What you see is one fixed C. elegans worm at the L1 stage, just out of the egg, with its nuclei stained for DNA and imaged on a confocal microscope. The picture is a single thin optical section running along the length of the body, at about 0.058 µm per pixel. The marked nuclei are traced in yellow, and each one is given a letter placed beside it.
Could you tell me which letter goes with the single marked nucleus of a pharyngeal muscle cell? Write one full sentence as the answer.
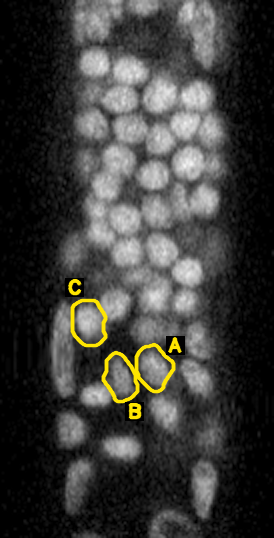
Nucleus A belongs to a pharyngeal muscle cell.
